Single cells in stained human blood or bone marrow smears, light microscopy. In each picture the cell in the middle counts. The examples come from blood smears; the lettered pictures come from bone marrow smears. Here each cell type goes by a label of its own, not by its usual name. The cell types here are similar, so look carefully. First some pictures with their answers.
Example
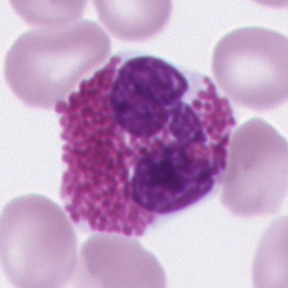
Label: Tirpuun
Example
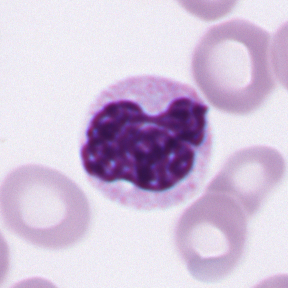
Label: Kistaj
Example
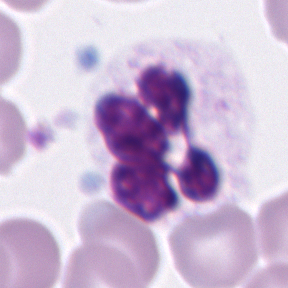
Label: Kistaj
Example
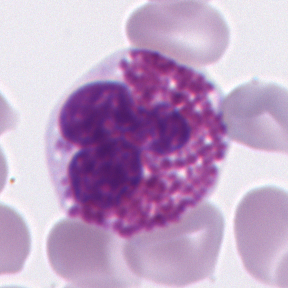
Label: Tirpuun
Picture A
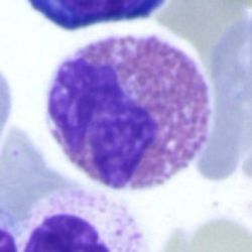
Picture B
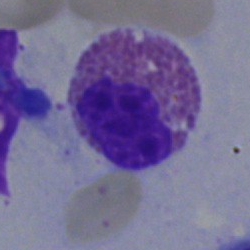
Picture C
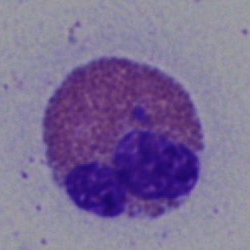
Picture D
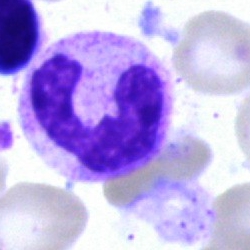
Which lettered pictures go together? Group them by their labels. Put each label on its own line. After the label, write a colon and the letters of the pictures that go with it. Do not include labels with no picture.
Tirpuun: A, B, C
Kistaj: D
